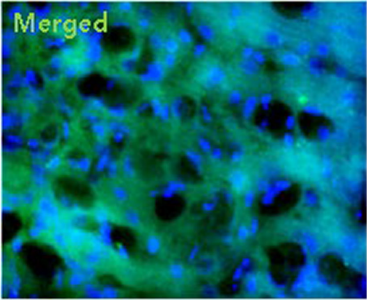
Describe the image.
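Small blue nuclei are scattered throughout, many of them round to oval and some slightly elongated. Larger dark, rounded, unstained spaces lie between them, giving the field a mottled look. The green is brightest in some irregular patches and streaks and weaker around the dark spaces. At this magnification, individual cell bodies and their processes cannot be clearly picked out. What the image mainly shows is the overall pattern of nuclei set within the stained tissue.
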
